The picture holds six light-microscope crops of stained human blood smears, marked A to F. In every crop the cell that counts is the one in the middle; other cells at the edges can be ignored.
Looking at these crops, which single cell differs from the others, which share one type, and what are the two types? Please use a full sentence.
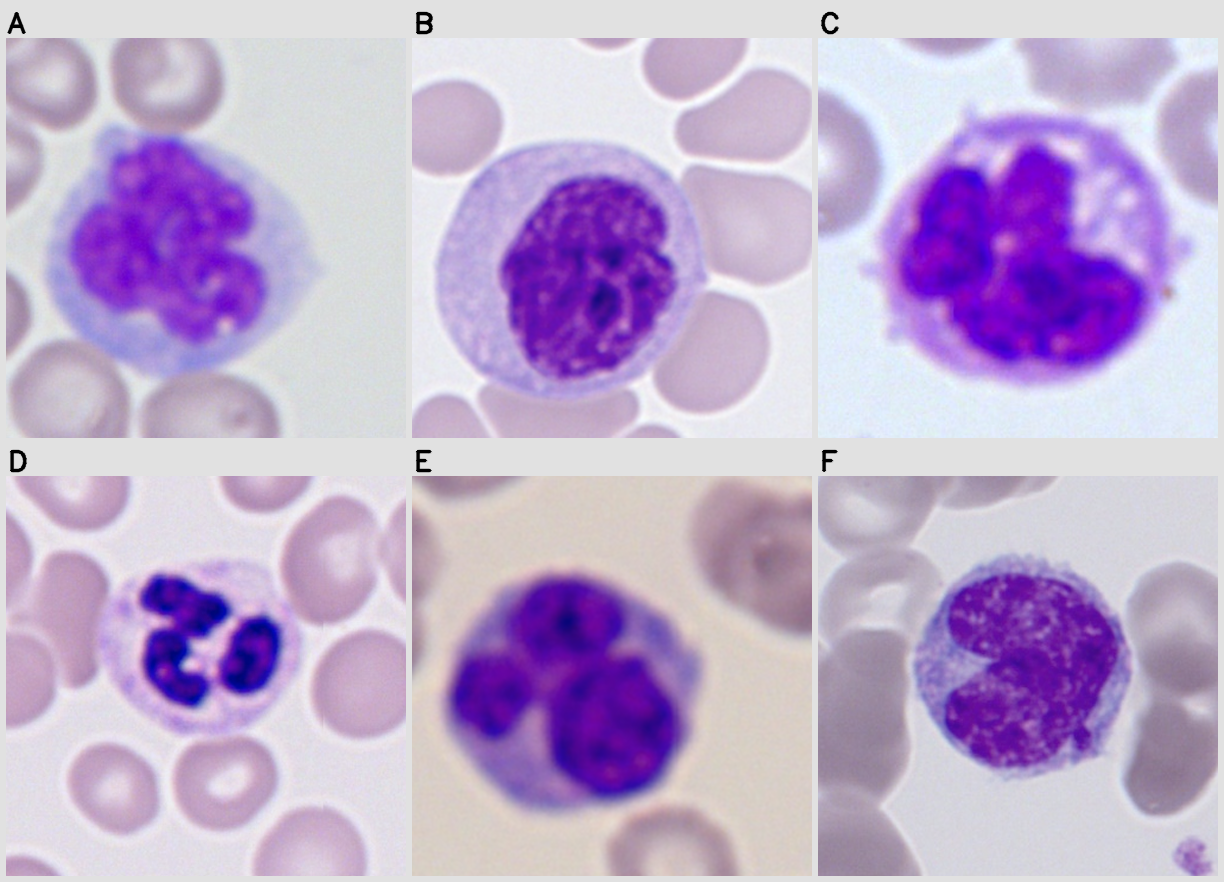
Only crop D differs, being a segmented neutrophil, while the others all show monocytes.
